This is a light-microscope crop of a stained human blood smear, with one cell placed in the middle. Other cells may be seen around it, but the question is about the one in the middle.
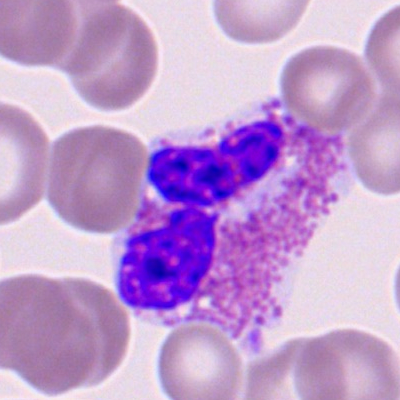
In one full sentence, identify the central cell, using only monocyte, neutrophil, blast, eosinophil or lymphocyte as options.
The cell sitting right in the middle is an eosinophil.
